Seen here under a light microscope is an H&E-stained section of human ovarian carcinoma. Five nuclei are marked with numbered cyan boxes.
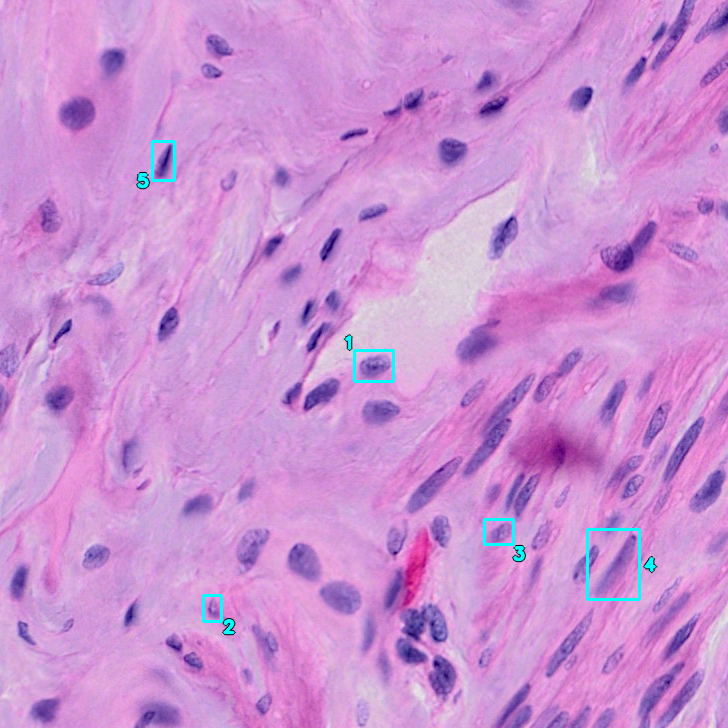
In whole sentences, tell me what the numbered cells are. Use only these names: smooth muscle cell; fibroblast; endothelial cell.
Cell 1 is an endothelial cell. Cells 2, 3 and 4 are smooth muscle cells. Cell 5 is a fibroblast.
